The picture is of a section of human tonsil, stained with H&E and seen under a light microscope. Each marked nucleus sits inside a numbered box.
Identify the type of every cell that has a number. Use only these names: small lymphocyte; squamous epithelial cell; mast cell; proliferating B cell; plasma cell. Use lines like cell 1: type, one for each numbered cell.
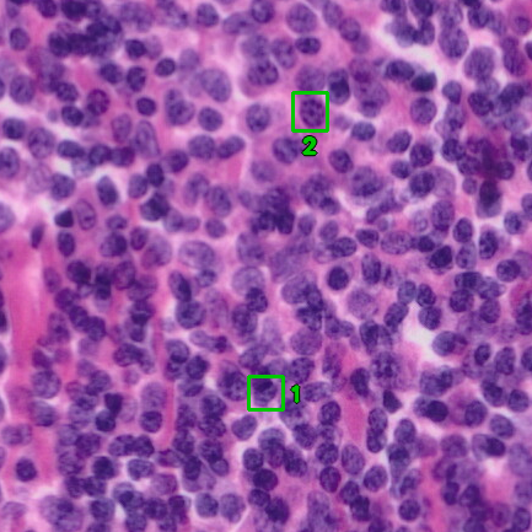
cell 1: small lymphocyte
cell 2: plasma cell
